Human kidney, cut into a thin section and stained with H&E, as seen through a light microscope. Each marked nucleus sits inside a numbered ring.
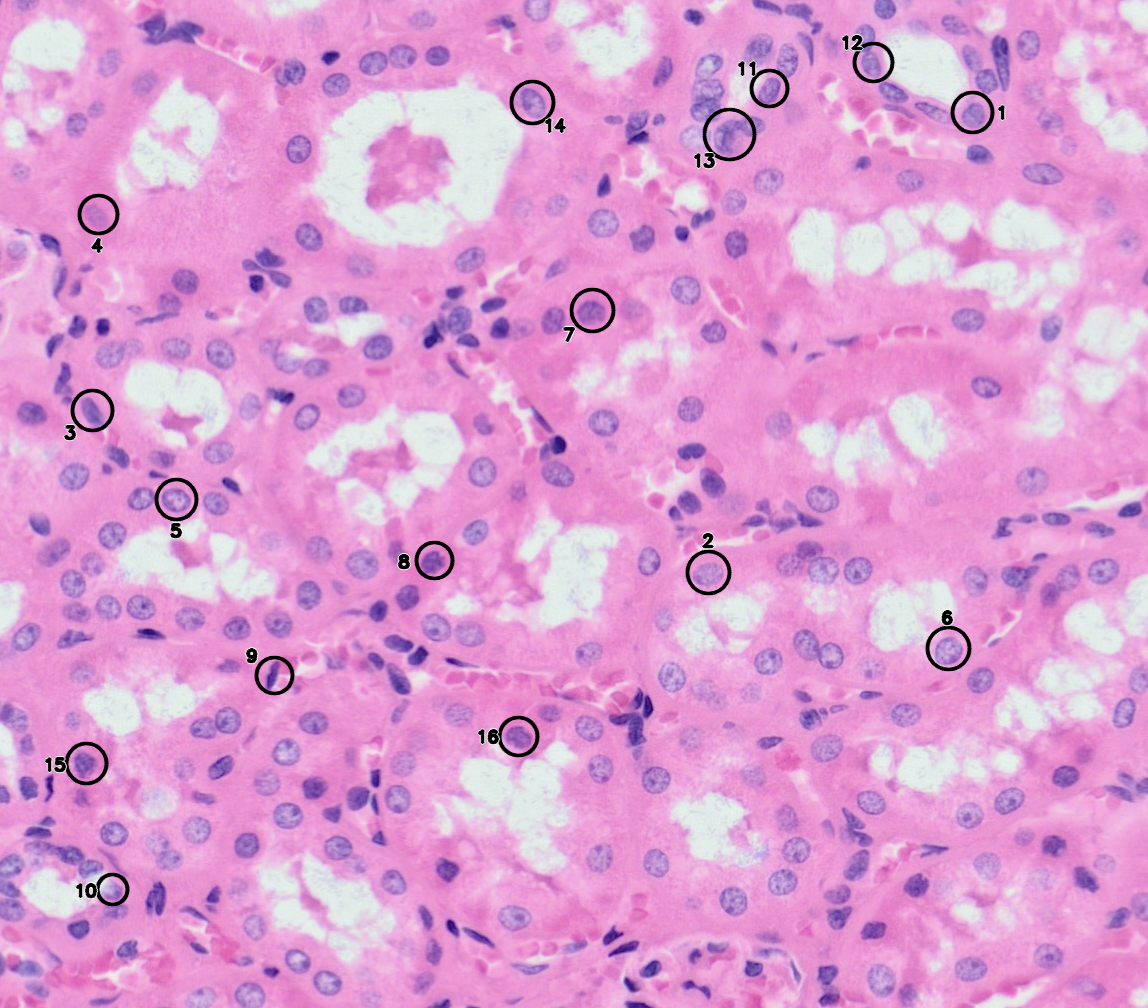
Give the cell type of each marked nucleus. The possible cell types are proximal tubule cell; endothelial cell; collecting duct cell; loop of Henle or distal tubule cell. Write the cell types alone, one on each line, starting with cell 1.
collecting duct cell
proximal tubule cell
endothelial cell
proximal tubule cell
proximal tubule cell
proximal tubule cell
proximal tubule cell
proximal tubule cell
endothelial cell
collecting duct cell
collecting duct cell
collecting duct cell
collecting duct cell
proximal tubule cell
proximal tubule cell
proximal tubule cell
